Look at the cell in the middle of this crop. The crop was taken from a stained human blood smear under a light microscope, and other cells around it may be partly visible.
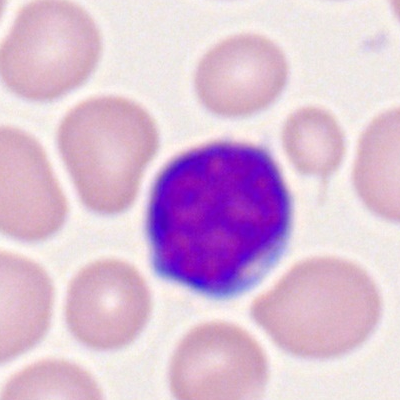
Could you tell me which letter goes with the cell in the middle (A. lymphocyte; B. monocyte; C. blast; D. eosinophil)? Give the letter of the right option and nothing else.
A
